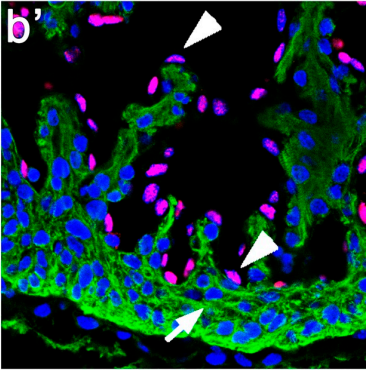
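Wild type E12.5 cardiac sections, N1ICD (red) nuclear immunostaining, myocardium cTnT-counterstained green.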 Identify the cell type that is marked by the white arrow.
Cardiomyocytes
